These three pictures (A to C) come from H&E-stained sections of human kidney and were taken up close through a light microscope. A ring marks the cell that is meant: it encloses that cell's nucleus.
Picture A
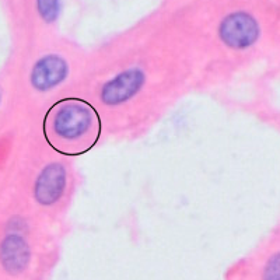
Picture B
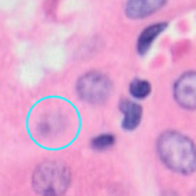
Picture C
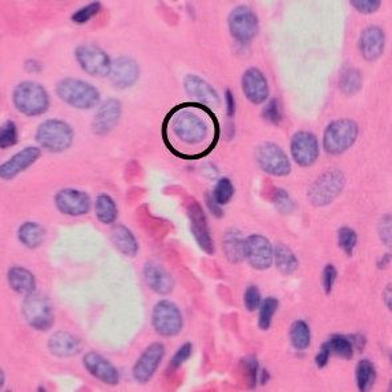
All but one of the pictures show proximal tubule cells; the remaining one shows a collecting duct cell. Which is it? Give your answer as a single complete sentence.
Picture C is the one that shows the collecting duct cell.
